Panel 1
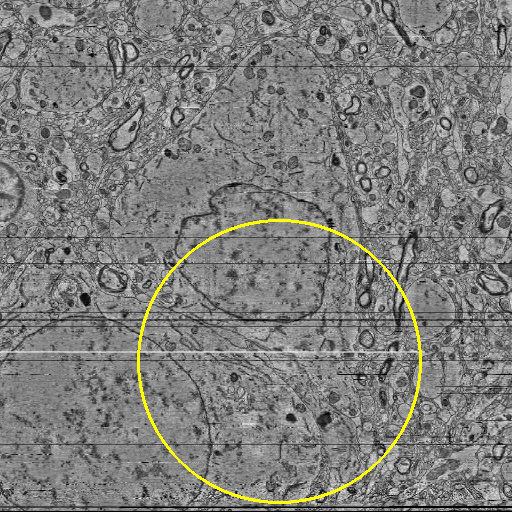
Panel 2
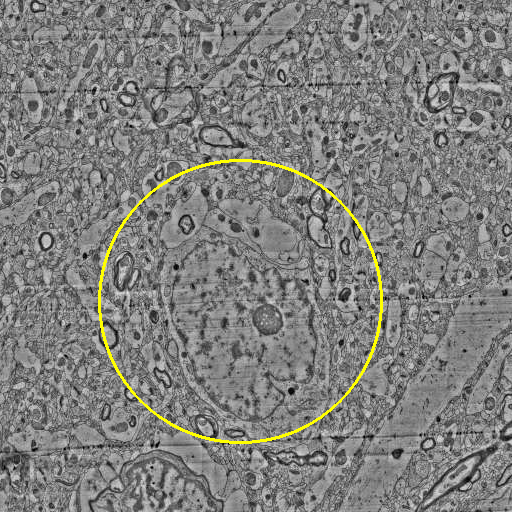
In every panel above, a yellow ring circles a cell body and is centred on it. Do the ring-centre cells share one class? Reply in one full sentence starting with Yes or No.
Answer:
No, the two cells at the ring centres in the panels belong to two classes.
